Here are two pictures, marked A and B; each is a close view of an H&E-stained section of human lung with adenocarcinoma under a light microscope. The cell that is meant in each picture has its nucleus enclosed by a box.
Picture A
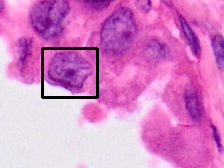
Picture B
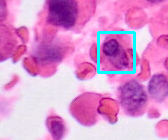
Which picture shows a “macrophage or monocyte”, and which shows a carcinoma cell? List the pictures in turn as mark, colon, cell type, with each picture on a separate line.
A: carcinoma cell
B: macrophage or monocyte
